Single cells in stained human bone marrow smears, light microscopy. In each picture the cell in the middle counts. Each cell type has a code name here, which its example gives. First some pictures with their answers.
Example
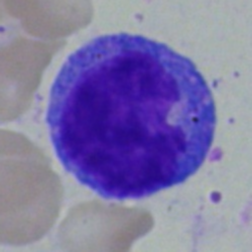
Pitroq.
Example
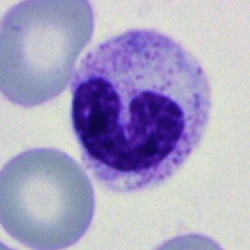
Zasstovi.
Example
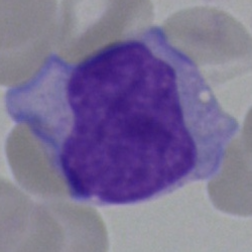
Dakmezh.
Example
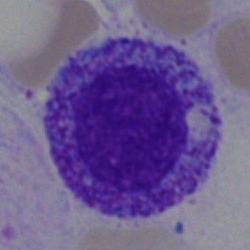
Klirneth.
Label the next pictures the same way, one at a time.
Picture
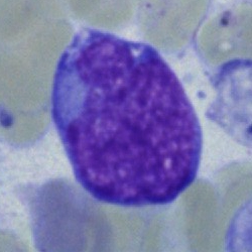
Dakmezh.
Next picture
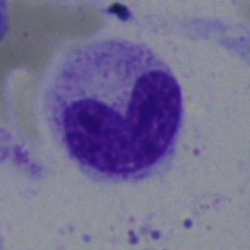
Zasstovi.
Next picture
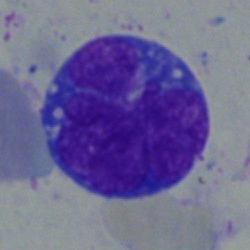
Dakmezh.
